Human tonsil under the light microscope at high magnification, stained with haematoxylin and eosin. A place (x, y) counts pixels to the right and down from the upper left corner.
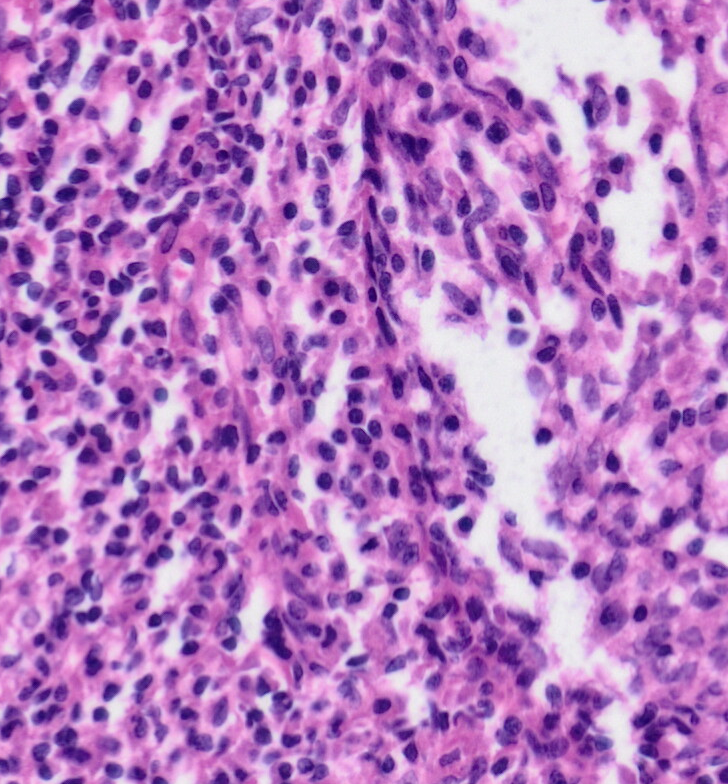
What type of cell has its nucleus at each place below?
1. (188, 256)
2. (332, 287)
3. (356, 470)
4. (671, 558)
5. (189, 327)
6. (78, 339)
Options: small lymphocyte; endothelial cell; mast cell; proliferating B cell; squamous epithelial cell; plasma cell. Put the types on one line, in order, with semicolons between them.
endothelial cell; plasma cell; plasma cell; plasma cell; endothelial cell; small lymphocyte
